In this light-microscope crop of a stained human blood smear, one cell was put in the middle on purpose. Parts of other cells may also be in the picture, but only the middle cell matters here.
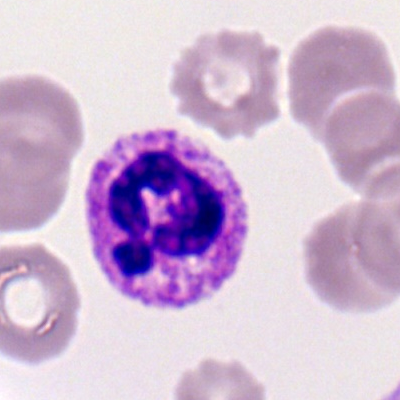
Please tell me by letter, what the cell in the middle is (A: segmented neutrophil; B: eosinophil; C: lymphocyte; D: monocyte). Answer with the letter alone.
A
